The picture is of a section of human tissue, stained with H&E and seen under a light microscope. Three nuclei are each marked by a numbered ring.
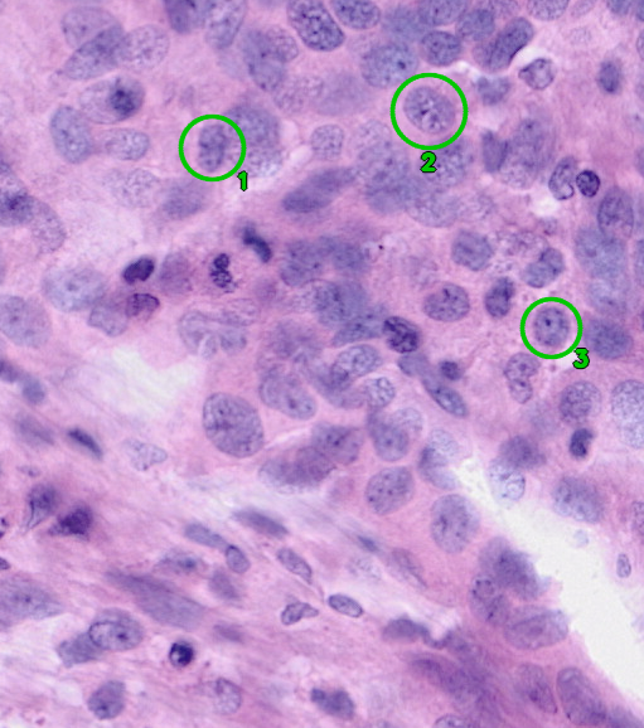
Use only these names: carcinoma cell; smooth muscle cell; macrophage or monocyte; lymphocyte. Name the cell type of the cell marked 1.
macrophage or monocyte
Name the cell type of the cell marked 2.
carcinoma cell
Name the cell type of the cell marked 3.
macrophage or monocyte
